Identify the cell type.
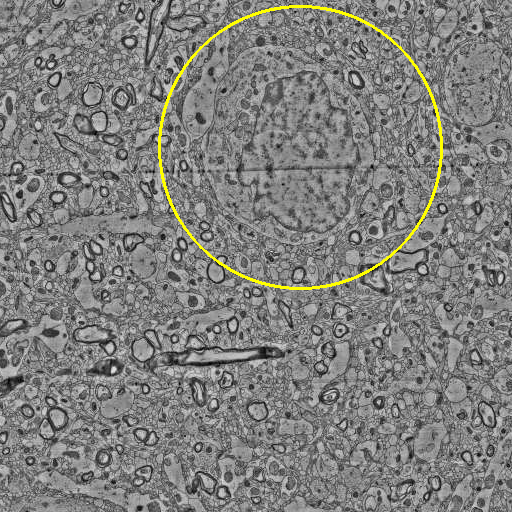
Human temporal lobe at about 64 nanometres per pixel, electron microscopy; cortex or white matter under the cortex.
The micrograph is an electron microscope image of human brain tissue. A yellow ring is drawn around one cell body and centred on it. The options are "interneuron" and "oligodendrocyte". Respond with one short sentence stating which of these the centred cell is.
The cell body in the ring belongs to an interneuron.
